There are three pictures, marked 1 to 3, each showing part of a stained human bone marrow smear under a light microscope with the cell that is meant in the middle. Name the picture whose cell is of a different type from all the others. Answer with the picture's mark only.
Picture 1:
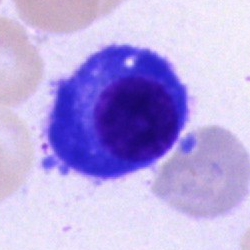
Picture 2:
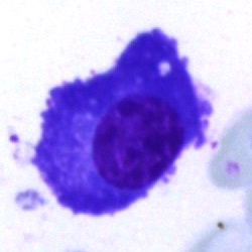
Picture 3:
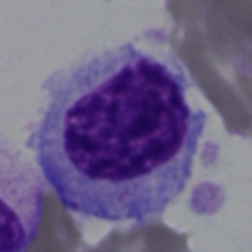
3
